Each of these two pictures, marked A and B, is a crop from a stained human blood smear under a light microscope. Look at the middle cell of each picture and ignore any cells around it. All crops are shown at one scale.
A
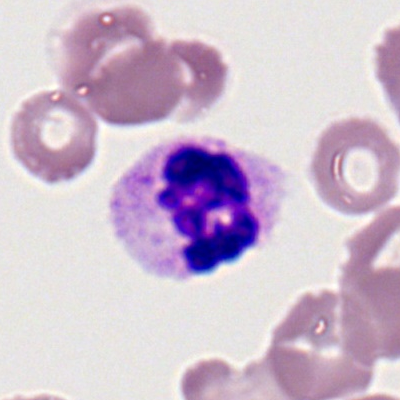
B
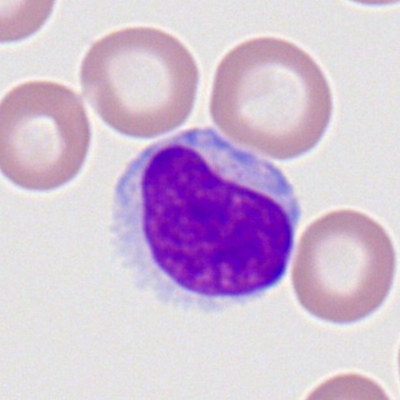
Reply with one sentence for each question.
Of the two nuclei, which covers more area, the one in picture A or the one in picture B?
It is the nucleus in picture B, about 2 times as large in area as the one in picture A.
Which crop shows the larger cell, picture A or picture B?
Larger is the cell in picture B, at roughly 1.5 times the area of the other.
